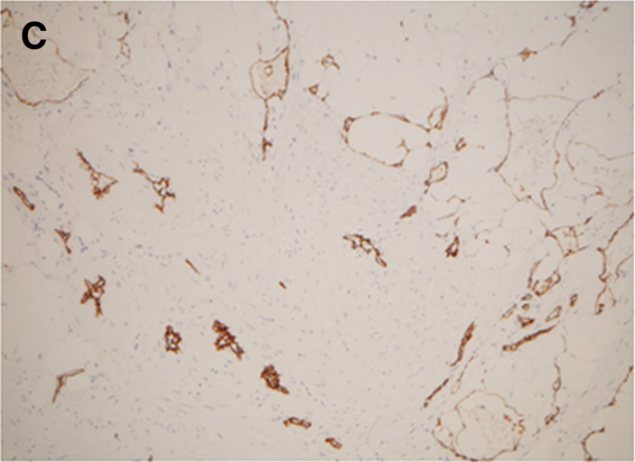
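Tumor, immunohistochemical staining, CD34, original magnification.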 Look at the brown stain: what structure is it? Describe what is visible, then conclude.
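Proliferating vessels. Brown stain lines small irregular slit-like and branching lumina. The brown stain also outlines thin walls among the fat spaces. The pale background between them is largely unstained.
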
